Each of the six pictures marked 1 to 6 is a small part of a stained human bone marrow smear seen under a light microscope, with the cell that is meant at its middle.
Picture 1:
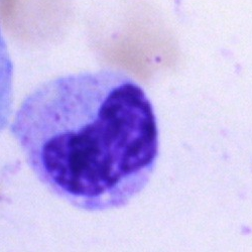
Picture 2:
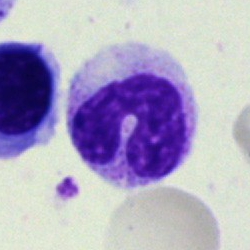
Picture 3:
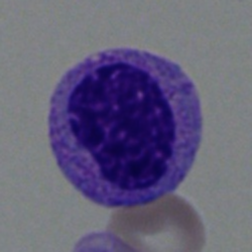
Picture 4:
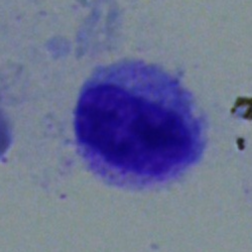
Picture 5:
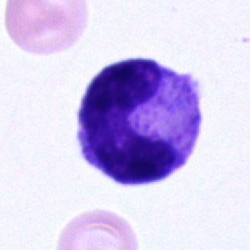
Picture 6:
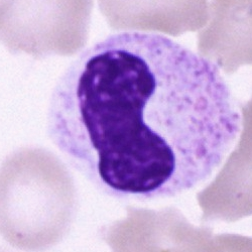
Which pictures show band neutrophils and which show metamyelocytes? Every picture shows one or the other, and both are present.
1: metamyelocyte
2: band neutrophil
3: metamyelocyte
4: metamyelocyte
5: band neutrophil
6: band neutrophil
